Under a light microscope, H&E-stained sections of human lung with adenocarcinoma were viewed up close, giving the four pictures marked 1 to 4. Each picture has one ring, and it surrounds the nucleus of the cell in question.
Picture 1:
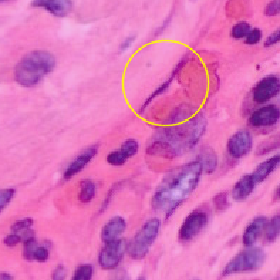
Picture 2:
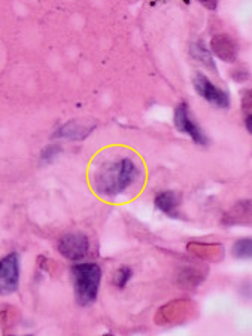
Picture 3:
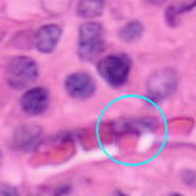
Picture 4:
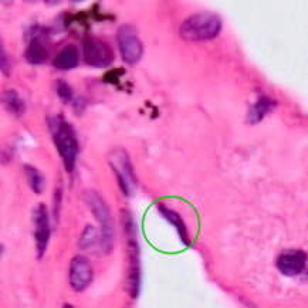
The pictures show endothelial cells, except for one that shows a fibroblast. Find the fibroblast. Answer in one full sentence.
Picture 2 shows the fibroblast.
